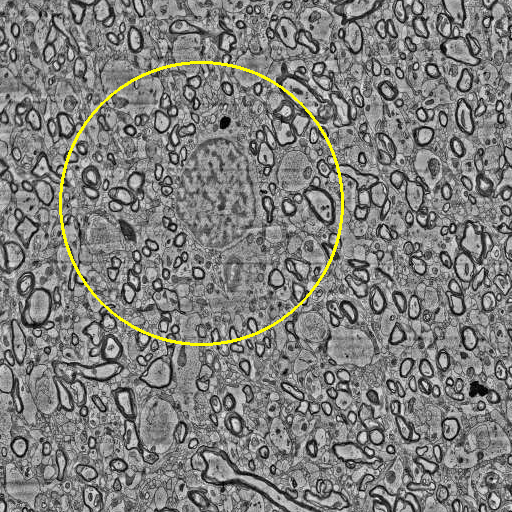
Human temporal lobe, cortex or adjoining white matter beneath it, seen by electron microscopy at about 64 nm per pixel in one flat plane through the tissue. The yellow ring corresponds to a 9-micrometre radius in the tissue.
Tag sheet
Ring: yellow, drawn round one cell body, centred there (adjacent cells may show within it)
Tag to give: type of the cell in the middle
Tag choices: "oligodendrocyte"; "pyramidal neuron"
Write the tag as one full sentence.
I tag the cell centred in the yellow ring as an oligodendrocyte in this picture.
